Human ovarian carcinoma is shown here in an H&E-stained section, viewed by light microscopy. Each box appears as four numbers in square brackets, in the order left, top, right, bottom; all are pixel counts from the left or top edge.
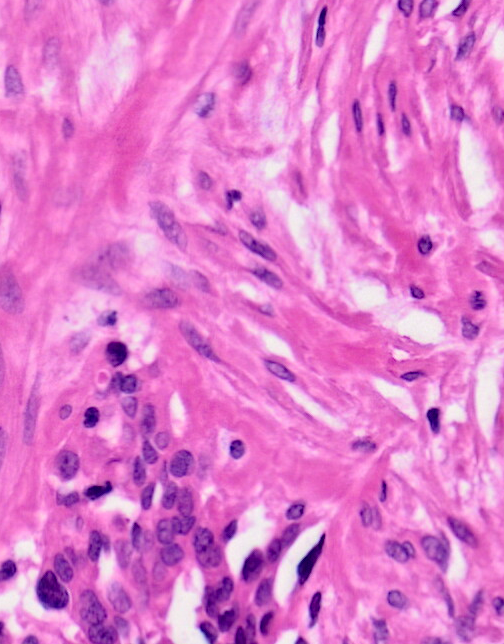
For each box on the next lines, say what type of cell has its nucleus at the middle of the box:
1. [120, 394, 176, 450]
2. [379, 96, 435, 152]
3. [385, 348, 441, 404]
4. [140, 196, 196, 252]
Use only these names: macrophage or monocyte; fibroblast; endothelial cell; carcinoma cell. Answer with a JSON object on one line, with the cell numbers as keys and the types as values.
{"1": "carcinoma cell", "2": "fibroblast", "3": "fibroblast", "4": "fibroblast"}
